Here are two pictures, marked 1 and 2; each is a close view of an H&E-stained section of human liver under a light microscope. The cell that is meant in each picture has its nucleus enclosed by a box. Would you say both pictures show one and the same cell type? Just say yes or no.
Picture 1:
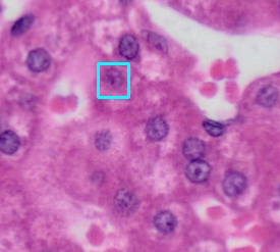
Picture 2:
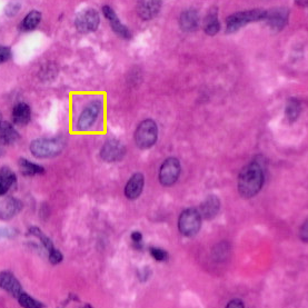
no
